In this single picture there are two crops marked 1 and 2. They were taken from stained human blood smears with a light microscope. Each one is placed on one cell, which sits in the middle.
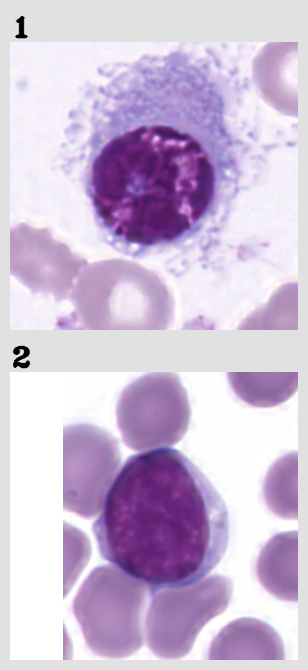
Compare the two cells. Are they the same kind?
no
